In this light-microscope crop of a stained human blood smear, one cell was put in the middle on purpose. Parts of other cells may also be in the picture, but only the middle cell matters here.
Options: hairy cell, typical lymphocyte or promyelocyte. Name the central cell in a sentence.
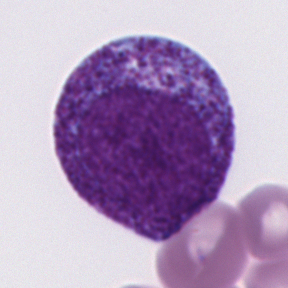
The cell shown in the center of this light-microscope crop is a promyelocyte.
